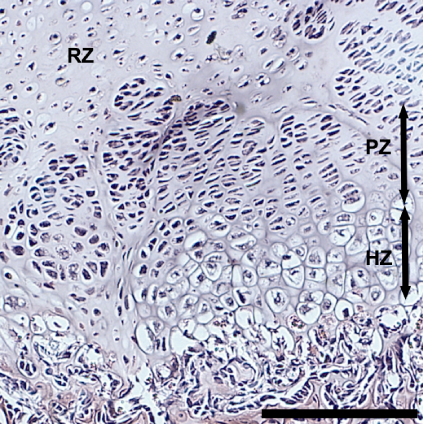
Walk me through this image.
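Small cells sit in pale matrix at the top, but the stacked columns below are short and irregular, with clusters of flattened cells curving in whorls rather than running straight. The band of large swollen pale cells near the bottom is thin, with fewer of these enlarged cells than usual, before the cartilage meets the dense purple-stained cellular tissue beneath.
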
